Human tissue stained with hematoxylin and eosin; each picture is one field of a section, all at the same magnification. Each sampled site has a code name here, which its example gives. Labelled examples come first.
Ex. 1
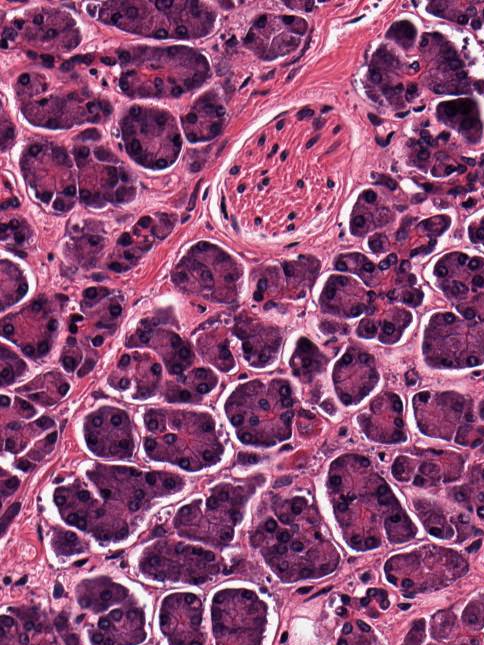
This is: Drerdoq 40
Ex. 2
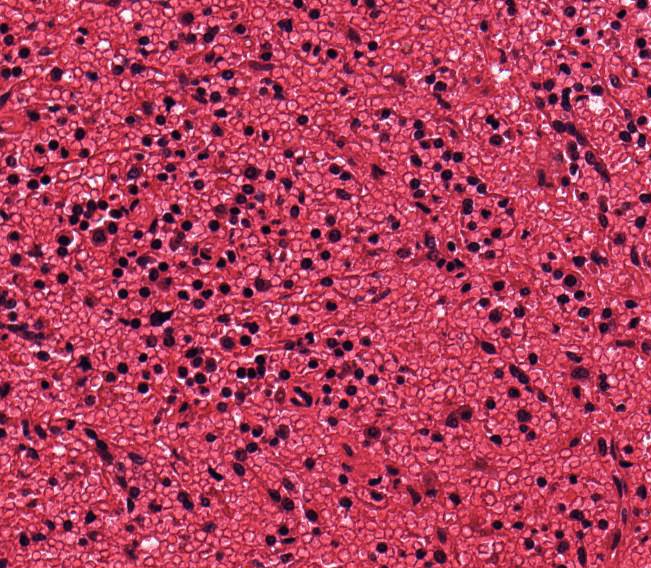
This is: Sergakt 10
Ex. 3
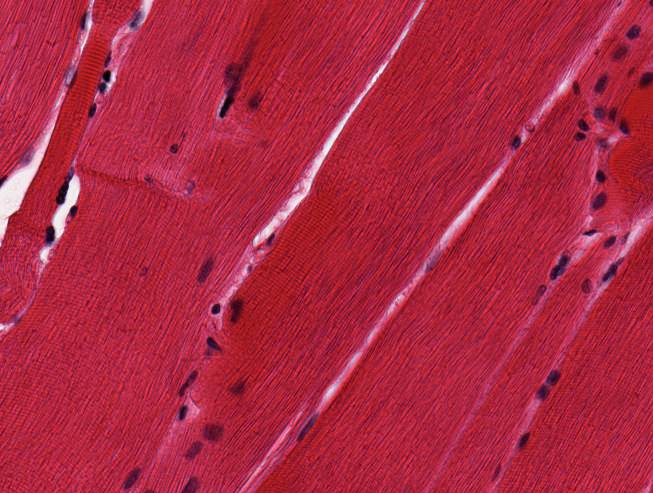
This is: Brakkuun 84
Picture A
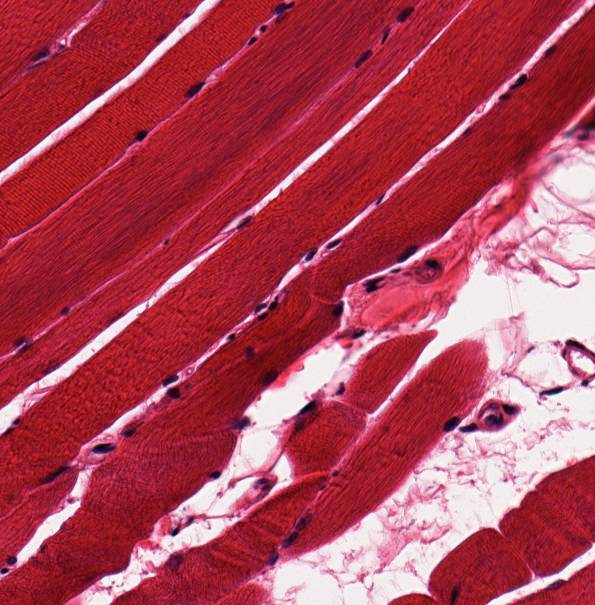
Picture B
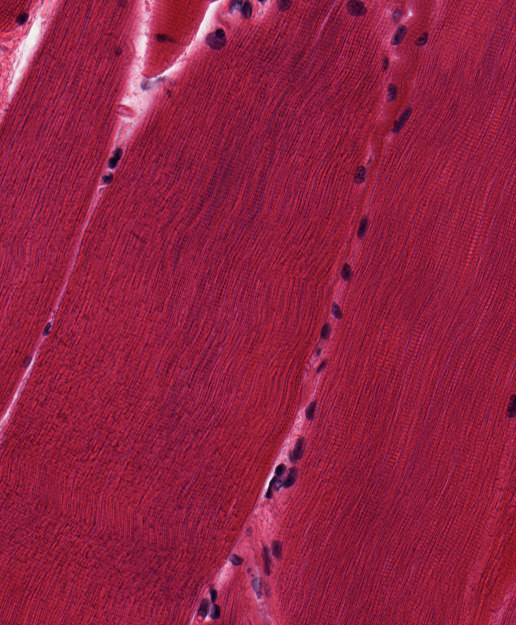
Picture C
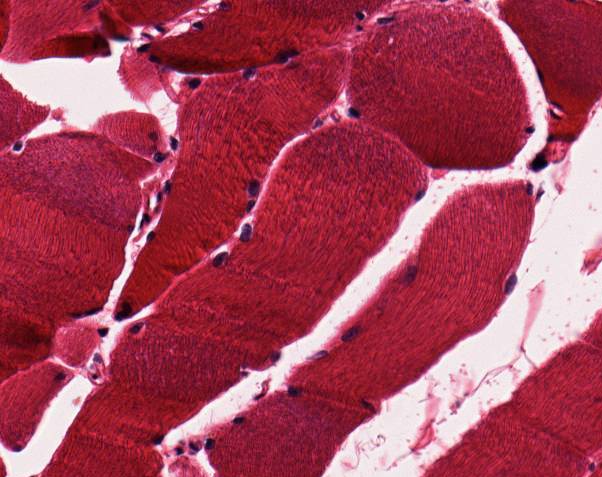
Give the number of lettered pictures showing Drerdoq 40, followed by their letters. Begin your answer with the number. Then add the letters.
0, none of them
